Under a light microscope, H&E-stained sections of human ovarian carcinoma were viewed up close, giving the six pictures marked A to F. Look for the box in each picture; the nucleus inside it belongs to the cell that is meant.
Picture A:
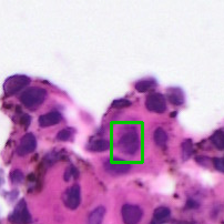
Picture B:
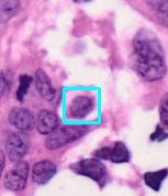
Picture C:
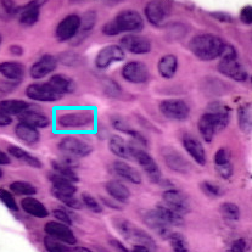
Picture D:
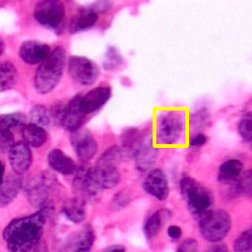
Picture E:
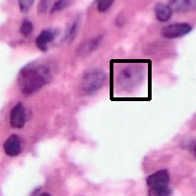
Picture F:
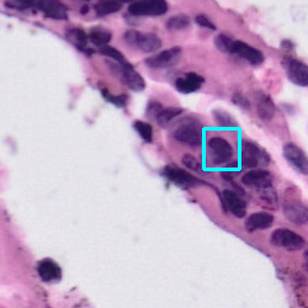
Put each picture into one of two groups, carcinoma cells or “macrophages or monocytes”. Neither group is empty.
A: carcinoma cell
B: carcinoma cell
C: carcinoma cell
D: macrophage or monocyte
E: macrophage or monocyte
F: carcinoma cell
